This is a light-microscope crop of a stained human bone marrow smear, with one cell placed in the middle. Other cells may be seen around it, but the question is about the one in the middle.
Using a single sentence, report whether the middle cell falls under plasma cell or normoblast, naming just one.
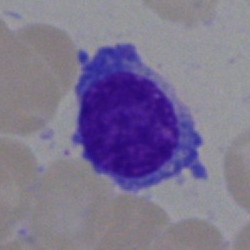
This crop is built around a plasma cell at its centre.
